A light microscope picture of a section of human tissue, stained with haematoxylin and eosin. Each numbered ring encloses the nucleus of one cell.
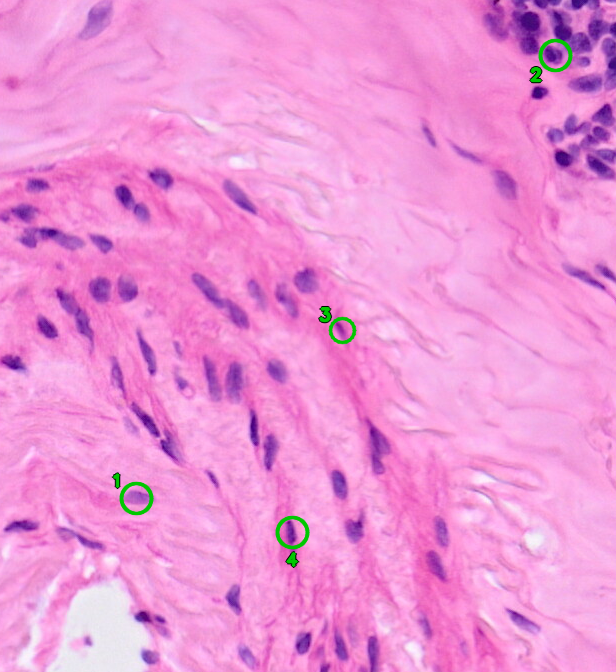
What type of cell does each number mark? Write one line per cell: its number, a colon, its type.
1: smooth muscle cell or pericyte
2: lymphocyte
3: smooth muscle cell or pericyte
4: smooth muscle cell or pericyte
